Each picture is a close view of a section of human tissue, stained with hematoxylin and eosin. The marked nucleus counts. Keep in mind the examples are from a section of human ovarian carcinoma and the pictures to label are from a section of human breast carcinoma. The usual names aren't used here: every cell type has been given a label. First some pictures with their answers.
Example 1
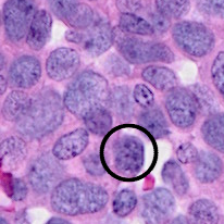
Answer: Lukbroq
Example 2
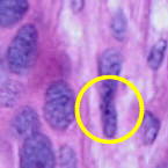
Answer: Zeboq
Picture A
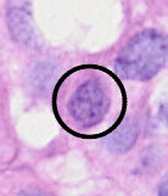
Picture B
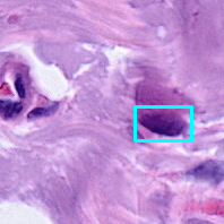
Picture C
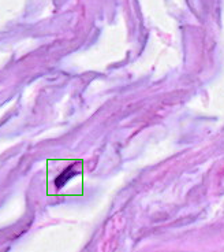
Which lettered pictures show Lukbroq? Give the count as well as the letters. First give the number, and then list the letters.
1: A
